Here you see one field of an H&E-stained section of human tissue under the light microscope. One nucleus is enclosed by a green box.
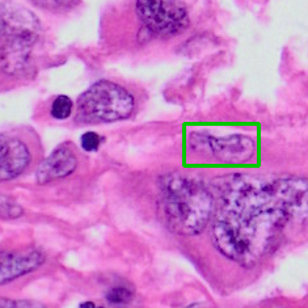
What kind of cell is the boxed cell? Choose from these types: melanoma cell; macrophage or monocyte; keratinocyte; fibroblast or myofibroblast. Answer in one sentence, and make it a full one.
Placed in its cell category, the boxed cell is a melanoma cell.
